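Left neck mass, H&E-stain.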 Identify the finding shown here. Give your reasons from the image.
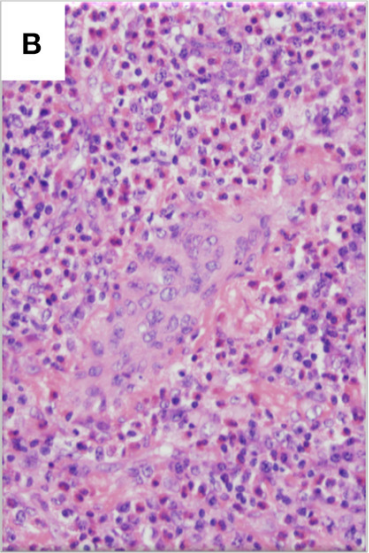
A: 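Prominent eosinophilia. Many cells with bright red-pink granular cytoplasm scattered throughout. Mixed infiltrate of small round cells.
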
